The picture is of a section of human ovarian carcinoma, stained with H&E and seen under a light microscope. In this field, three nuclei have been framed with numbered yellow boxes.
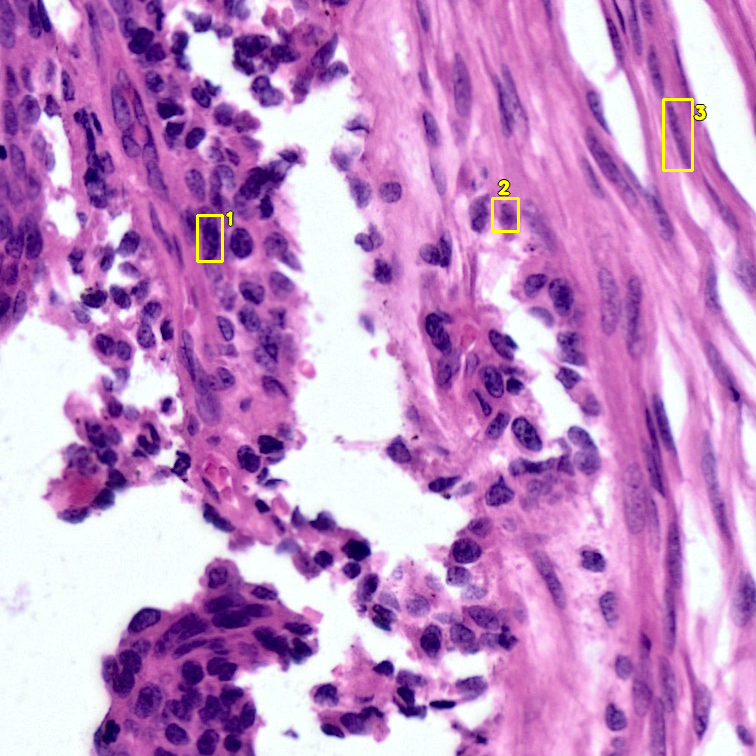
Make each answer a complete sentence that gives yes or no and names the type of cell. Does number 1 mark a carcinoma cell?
Yes, it is a carcinoma cell that number 1 identifies.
